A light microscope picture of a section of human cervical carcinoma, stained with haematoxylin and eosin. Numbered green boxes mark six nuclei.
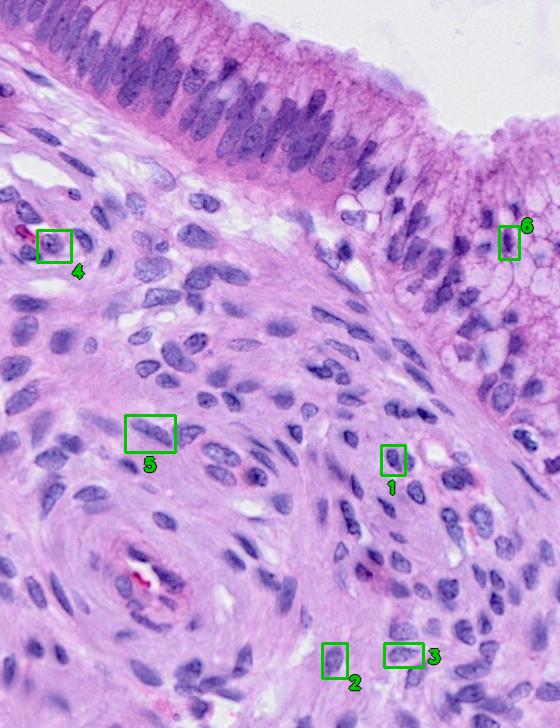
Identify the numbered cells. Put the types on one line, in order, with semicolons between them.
fibroblast; fibroblast; fibroblast; endothelial cell; fibroblast; secretory epithelial cell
